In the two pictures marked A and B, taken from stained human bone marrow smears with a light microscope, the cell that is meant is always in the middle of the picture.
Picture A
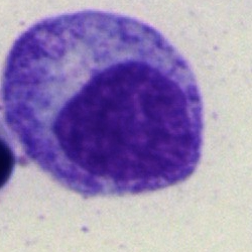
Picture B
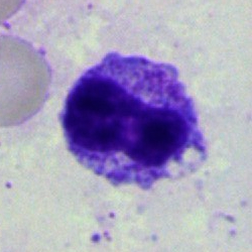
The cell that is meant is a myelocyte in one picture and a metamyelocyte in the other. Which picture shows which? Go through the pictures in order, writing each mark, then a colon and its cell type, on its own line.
A: myelocyte
B: metamyelocyte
